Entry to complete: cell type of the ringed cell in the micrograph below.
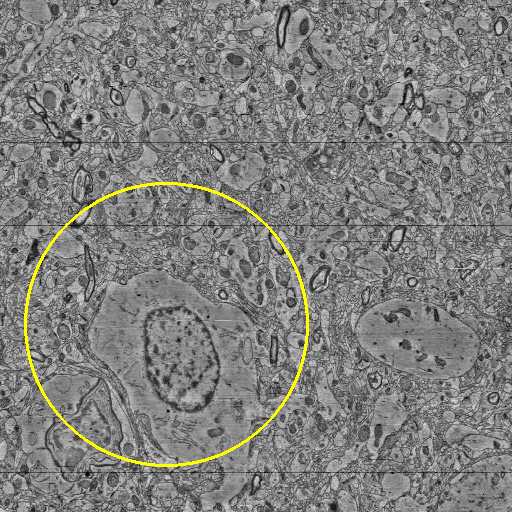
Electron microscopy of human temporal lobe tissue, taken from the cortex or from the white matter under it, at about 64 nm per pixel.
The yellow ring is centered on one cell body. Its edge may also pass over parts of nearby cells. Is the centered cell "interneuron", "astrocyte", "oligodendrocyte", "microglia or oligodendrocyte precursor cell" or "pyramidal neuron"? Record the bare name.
astrocyte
